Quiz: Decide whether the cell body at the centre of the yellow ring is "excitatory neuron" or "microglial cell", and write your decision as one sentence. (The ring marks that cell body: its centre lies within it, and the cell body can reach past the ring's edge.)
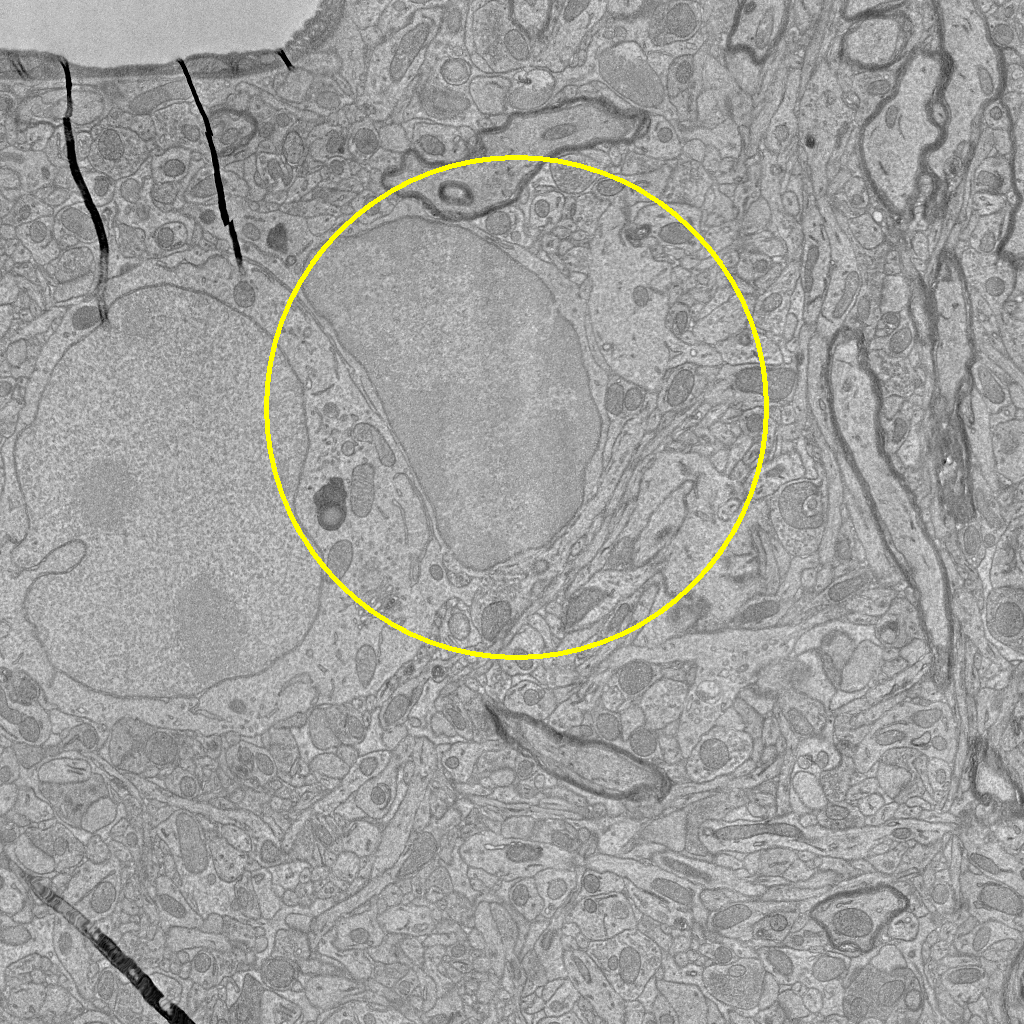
The cell holding the ring's centre is a microglial cell.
